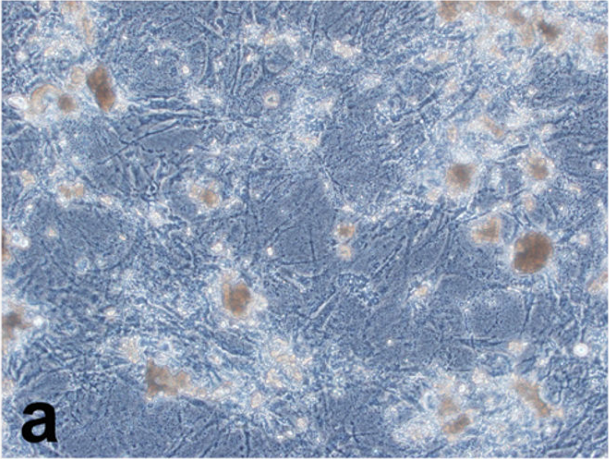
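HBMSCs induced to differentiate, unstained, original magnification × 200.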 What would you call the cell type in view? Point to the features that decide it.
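Osteoblasts. Dense, multilayered sheet of spindle-shaped cells. Scattered opaque brownish nodules on top of the cell layer.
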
